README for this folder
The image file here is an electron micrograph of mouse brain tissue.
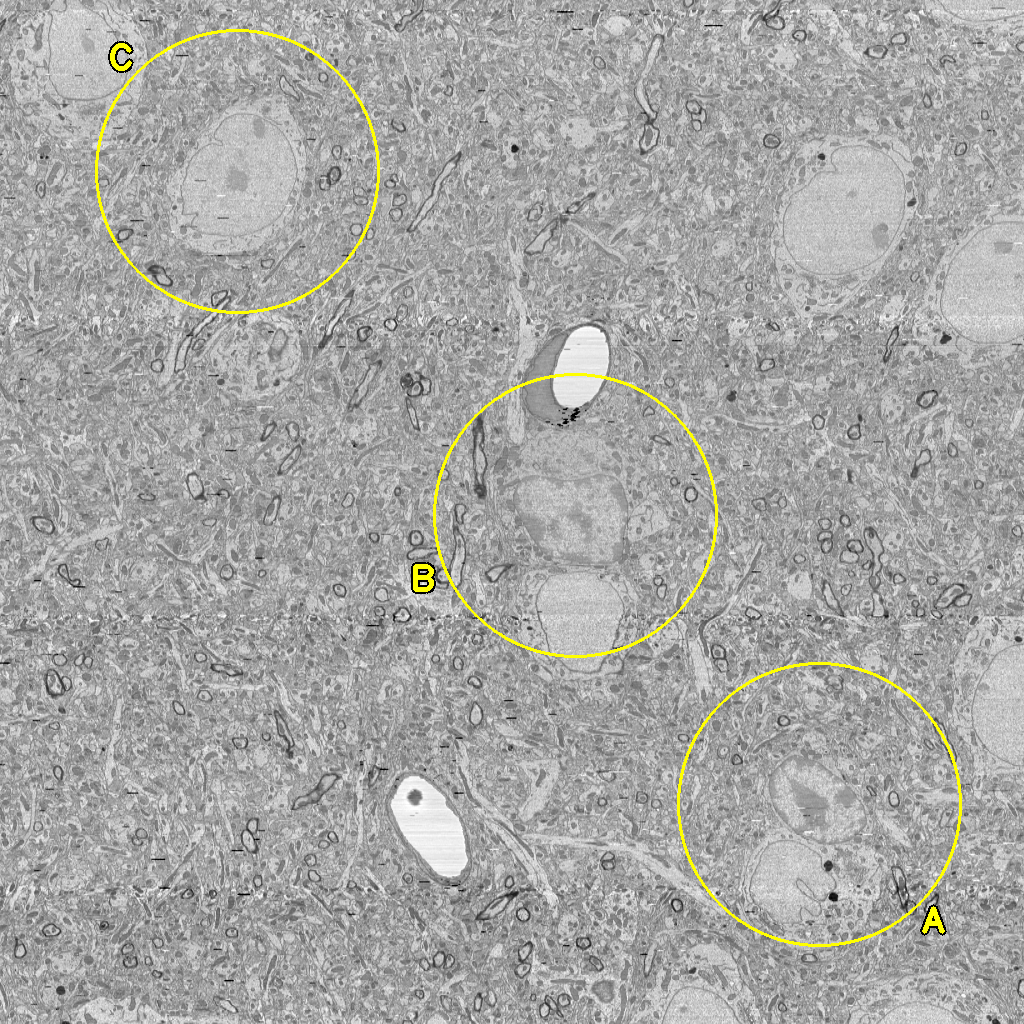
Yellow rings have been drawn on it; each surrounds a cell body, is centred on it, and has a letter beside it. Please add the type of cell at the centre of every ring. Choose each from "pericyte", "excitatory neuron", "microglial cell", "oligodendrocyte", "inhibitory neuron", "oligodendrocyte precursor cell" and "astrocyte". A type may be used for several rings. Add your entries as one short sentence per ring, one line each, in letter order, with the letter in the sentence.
Ring A marks the cell body of an oligodendrocyte.
Ring B marks the cell body of an oligodendrocyte.
Ring C marks the cell body of an excitatory neuron.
